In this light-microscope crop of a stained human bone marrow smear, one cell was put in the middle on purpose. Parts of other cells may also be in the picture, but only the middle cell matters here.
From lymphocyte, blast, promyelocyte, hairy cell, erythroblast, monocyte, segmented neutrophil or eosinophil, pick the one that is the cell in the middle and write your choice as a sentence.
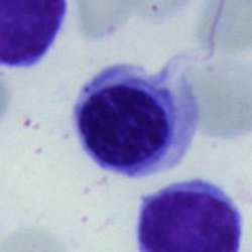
Present in the middle of the crop is an erythroblast.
